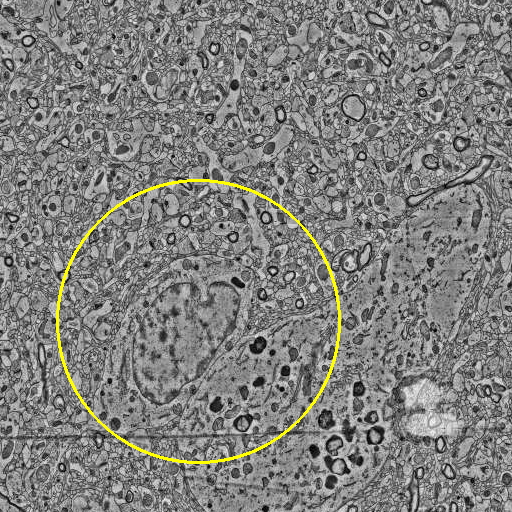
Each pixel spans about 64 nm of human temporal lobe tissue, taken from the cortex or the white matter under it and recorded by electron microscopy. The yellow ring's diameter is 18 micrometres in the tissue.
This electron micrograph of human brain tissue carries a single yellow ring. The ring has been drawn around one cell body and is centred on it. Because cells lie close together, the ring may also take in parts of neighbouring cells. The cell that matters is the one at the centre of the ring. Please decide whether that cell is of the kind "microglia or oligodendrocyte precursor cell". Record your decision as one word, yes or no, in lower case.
no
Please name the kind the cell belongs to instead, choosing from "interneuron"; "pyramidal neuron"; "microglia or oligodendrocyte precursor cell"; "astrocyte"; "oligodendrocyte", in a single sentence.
The cell at the ring centre is an interneuron.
